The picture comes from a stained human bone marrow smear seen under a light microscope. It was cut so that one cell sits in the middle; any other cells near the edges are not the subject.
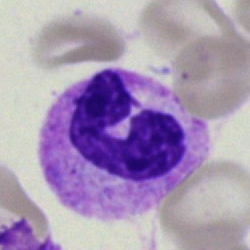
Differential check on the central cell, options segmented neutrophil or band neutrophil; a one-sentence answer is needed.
Within this crop, a band neutrophil occupies the central position.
